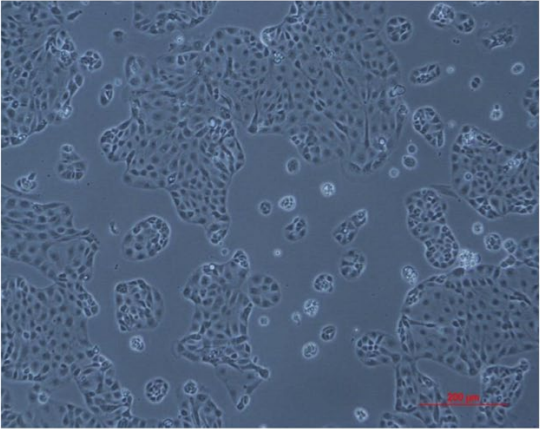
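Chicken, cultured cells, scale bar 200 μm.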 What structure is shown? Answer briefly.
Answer: Monolayers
